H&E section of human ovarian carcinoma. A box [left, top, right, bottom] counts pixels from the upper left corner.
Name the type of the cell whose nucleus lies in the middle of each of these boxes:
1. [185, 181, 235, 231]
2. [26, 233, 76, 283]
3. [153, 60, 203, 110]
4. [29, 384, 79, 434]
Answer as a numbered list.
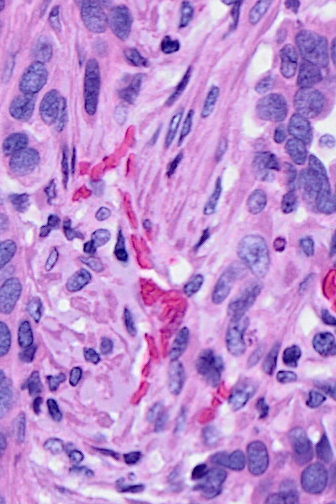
1. fibroblast
2. fibroblast
3. fibroblast
4. lymphocyte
